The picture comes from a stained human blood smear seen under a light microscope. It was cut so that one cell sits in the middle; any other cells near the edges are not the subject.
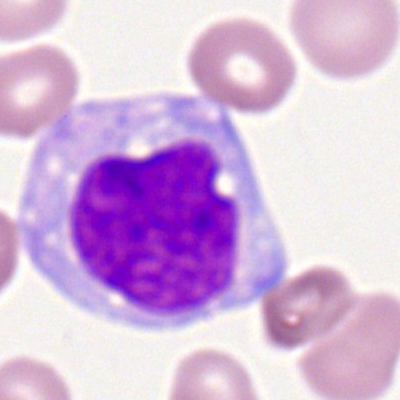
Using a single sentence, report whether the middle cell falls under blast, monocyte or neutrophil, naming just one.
The cell under consideration, at the middle of the crop, is a monocyte.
